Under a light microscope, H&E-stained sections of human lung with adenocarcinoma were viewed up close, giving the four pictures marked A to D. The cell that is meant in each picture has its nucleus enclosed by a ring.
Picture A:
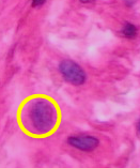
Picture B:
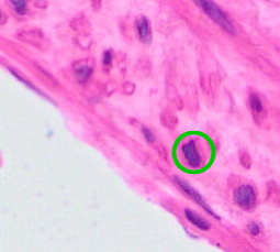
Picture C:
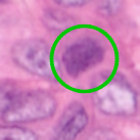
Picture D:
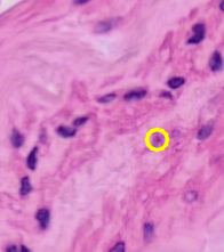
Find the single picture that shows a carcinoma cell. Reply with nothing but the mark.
C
